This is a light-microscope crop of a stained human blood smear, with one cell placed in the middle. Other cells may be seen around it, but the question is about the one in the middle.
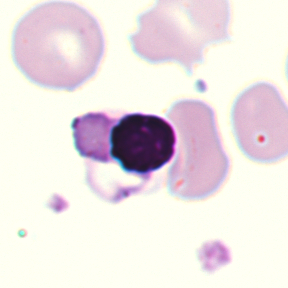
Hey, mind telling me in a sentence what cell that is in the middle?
The cell found in the middle of this crop is an erythroblast.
